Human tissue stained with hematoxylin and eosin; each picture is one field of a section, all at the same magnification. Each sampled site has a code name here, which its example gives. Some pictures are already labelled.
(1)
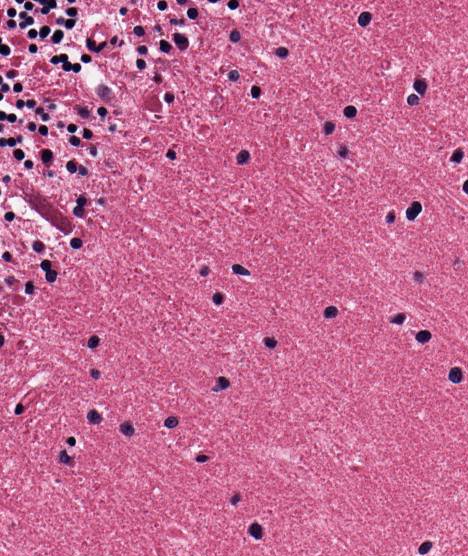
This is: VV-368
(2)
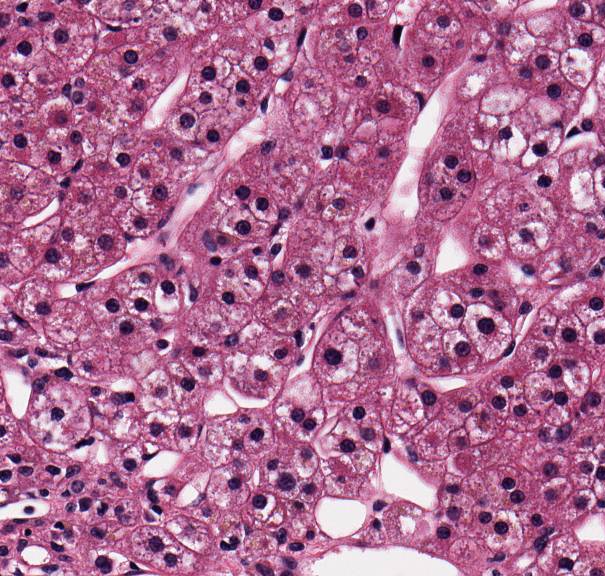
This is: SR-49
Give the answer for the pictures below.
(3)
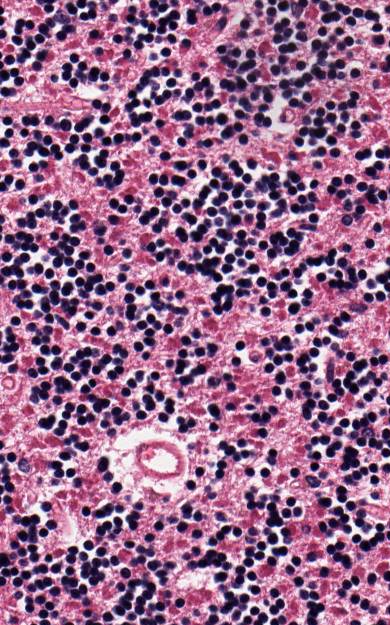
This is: VV-368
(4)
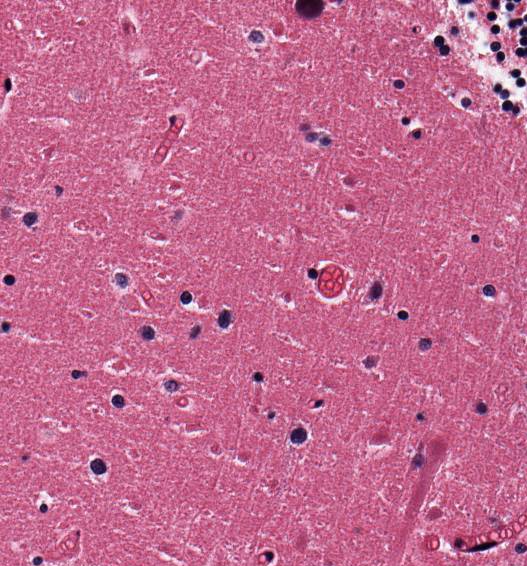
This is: VV-368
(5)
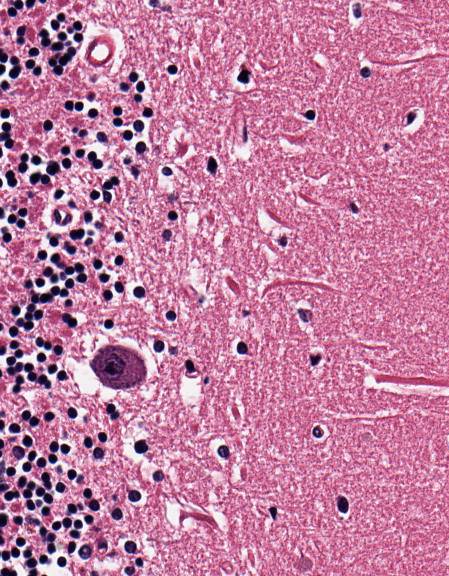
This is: VV-368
